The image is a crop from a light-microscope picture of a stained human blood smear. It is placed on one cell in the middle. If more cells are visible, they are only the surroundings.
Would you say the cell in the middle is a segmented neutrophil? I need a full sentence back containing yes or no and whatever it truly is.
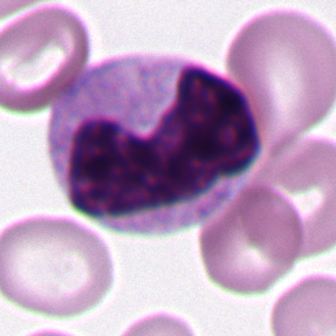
No, the centered cell is a band neutrophil and not a segmented neutrophil at all.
